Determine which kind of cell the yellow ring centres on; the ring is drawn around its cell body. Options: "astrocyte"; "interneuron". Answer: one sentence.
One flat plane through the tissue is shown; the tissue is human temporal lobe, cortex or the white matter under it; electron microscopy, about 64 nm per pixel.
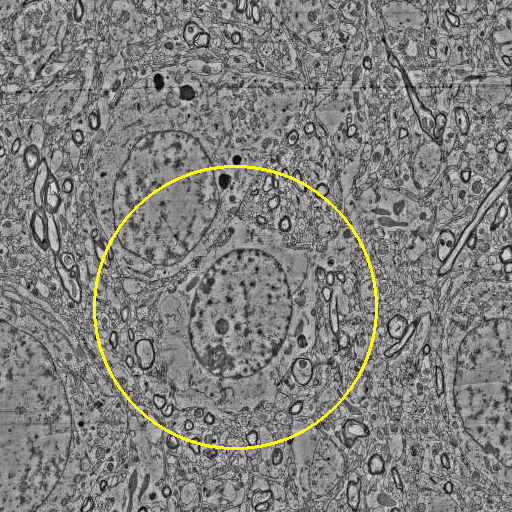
The ring centres on an astrocyte.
